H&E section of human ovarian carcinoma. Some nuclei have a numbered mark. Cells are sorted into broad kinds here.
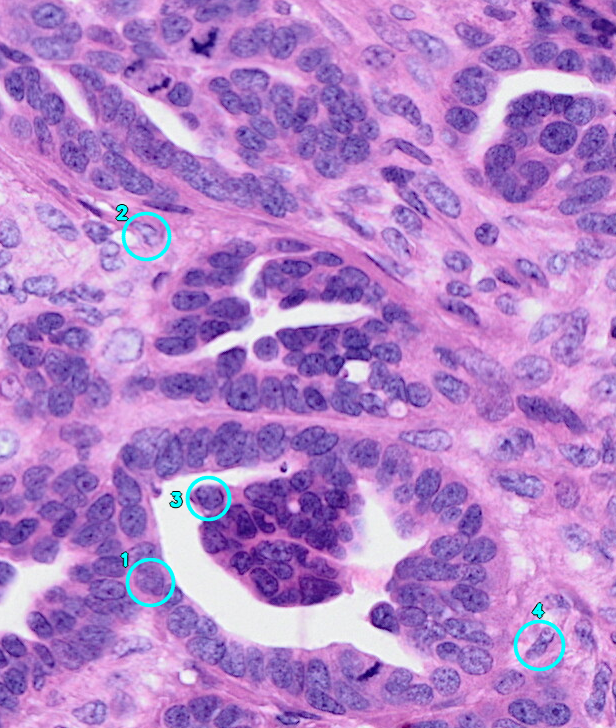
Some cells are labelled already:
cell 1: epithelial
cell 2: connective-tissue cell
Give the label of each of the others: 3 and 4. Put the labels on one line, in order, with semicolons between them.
epithelial; connective-tissue cell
